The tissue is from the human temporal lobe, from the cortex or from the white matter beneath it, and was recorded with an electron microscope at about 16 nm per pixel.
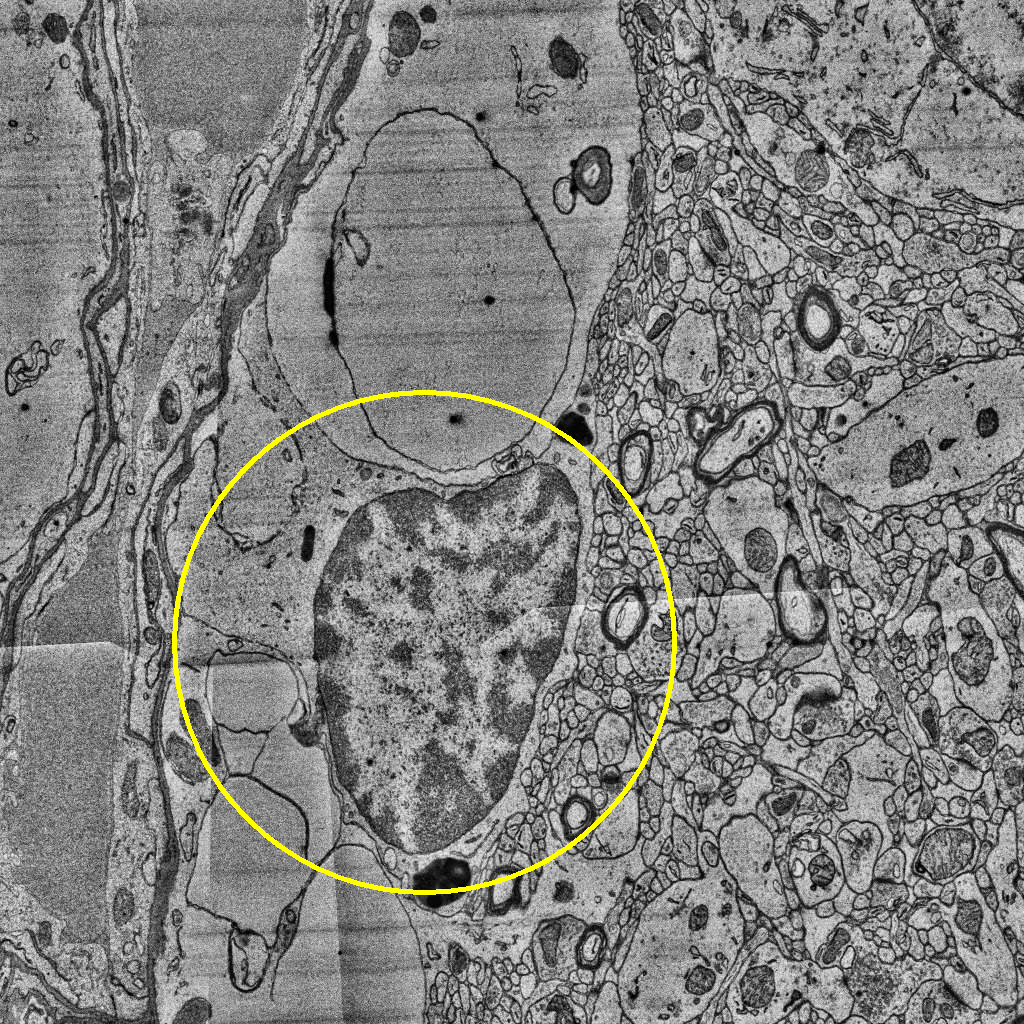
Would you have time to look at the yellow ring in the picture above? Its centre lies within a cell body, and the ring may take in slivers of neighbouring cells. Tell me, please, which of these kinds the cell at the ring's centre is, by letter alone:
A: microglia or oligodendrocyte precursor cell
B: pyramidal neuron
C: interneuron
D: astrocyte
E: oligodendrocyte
A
